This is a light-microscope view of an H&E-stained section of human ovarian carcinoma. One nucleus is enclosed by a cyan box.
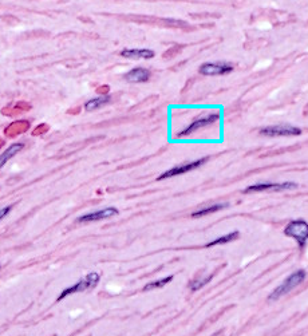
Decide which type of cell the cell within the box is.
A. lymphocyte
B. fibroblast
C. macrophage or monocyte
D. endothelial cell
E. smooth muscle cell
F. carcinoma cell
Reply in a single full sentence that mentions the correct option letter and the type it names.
The statement that the cell within the box is a fibroblast corresponds to option B, the correct one.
